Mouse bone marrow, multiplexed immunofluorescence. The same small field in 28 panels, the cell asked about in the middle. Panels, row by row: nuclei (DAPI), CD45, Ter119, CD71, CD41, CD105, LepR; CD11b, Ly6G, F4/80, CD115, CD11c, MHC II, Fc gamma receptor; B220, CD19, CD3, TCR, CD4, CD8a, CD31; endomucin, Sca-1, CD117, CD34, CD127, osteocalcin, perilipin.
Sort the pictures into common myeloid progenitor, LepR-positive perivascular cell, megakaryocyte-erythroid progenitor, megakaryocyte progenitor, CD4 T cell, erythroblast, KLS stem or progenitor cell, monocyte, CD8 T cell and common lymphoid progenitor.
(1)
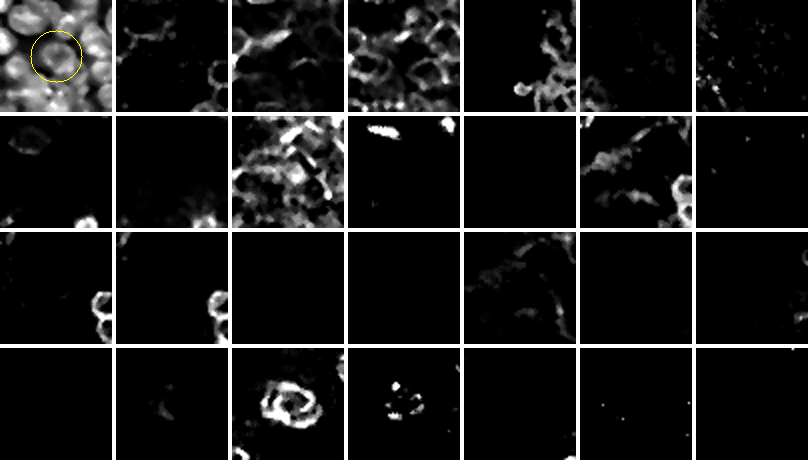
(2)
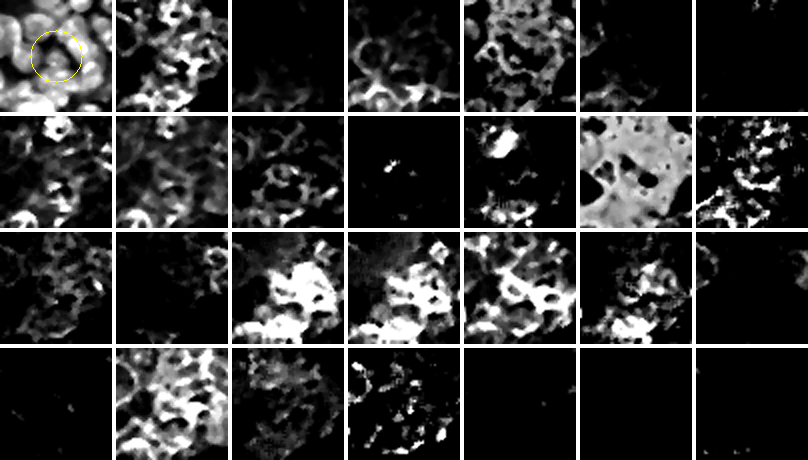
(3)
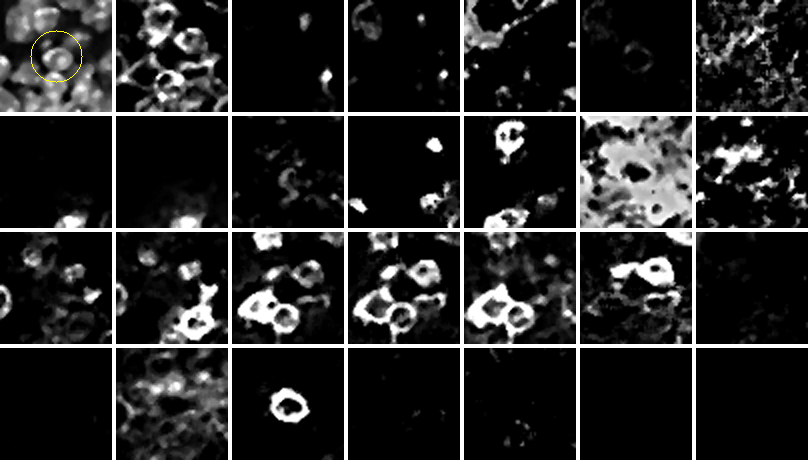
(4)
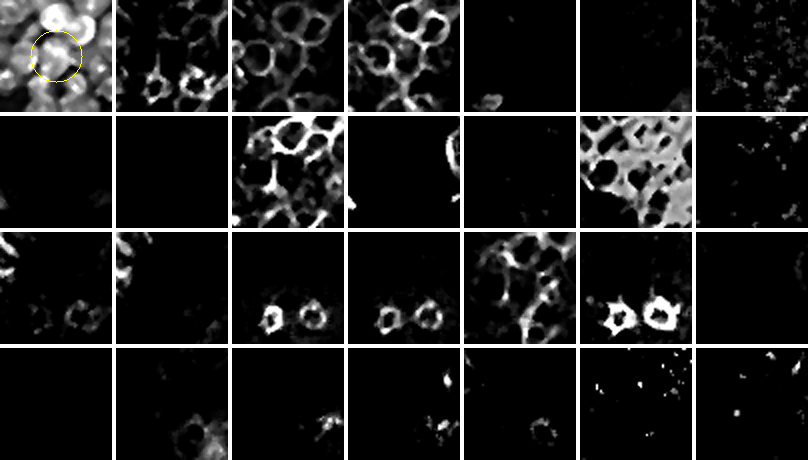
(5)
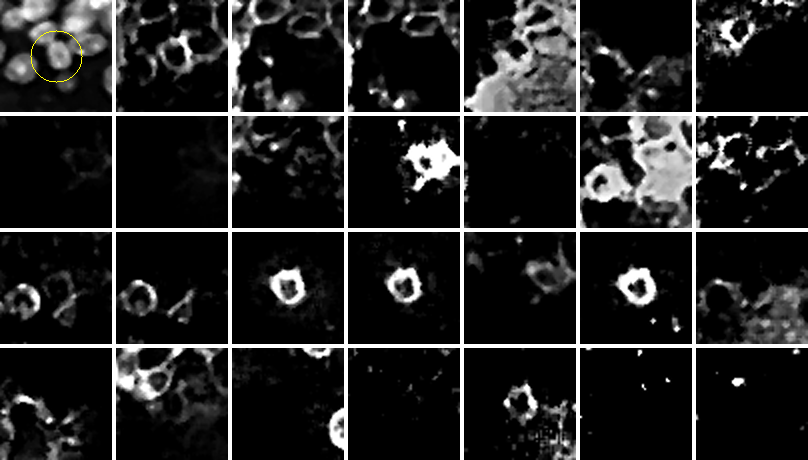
Common myeloid progenitors: 1
CD4 T cells: 2
KLS stem or progenitor cells: 3
Erythroblasts: 4
CD8 T cells: 5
